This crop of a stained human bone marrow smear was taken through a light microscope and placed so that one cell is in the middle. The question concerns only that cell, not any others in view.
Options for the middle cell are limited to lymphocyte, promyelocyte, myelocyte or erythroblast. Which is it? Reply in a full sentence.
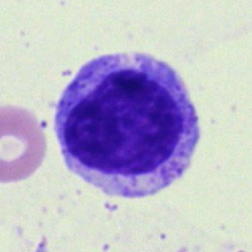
Where the crop is centred, there is a myelocyte.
